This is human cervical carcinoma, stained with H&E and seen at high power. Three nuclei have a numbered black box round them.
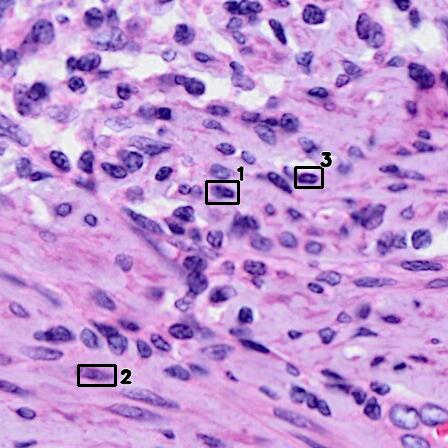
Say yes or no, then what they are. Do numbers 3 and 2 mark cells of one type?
No, cell 3 here is a lymphocyte and cell 2 here is a smooth muscle cell.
